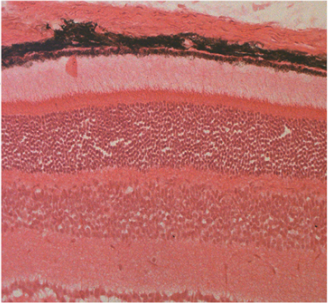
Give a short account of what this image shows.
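This is a cross-section of retina stained with hematoxylin and eosin, showing its photoreceptor and inner layers in orderly horizontal bands. At the top lies a dark, heavily pigmented band, beneath which a pale pink band of outer segments and a narrower, more deeply pink band of inner segments follow. Below these, the outer nuclear layer forms a thick band of small, round, darkly stained, tightly packed nuclei of the photoreceptors. A thin pale outer plexiform layer separates it from the inner nuclear layer, which holds a looser band of nuclei. Beneath that lies the pink, finely fibrillar inner plexiform layer.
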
